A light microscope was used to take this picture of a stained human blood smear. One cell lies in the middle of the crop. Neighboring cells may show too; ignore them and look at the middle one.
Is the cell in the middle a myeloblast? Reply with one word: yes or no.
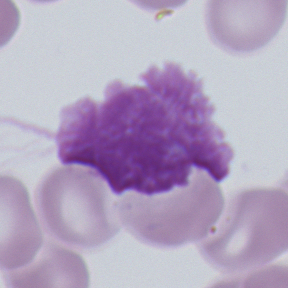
no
